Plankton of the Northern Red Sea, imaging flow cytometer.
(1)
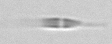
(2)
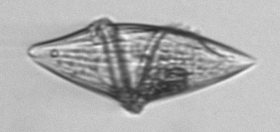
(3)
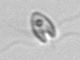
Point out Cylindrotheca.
That is picture 1.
